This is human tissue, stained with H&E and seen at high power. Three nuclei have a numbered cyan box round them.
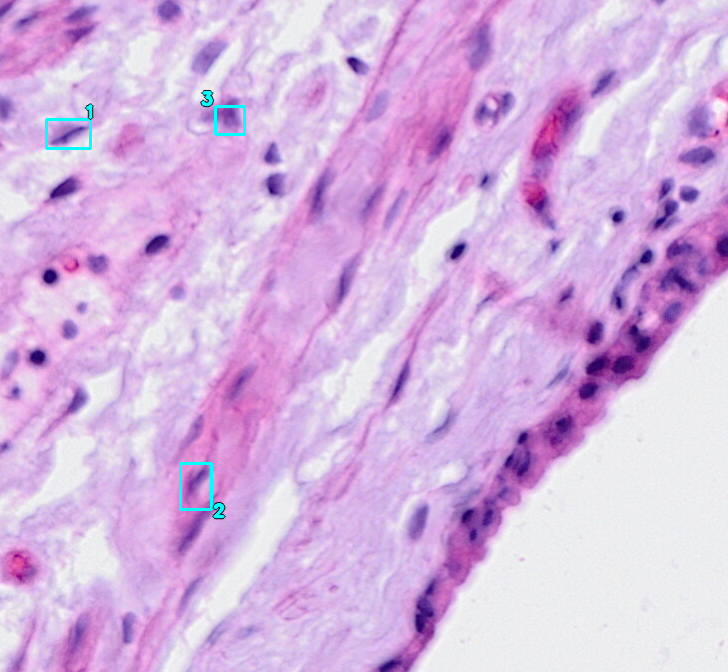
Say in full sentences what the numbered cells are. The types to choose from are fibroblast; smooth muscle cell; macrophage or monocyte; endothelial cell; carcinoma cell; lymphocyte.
Cells 1 and 3 are fibroblasts. Cell 2 is a smooth muscle cell.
